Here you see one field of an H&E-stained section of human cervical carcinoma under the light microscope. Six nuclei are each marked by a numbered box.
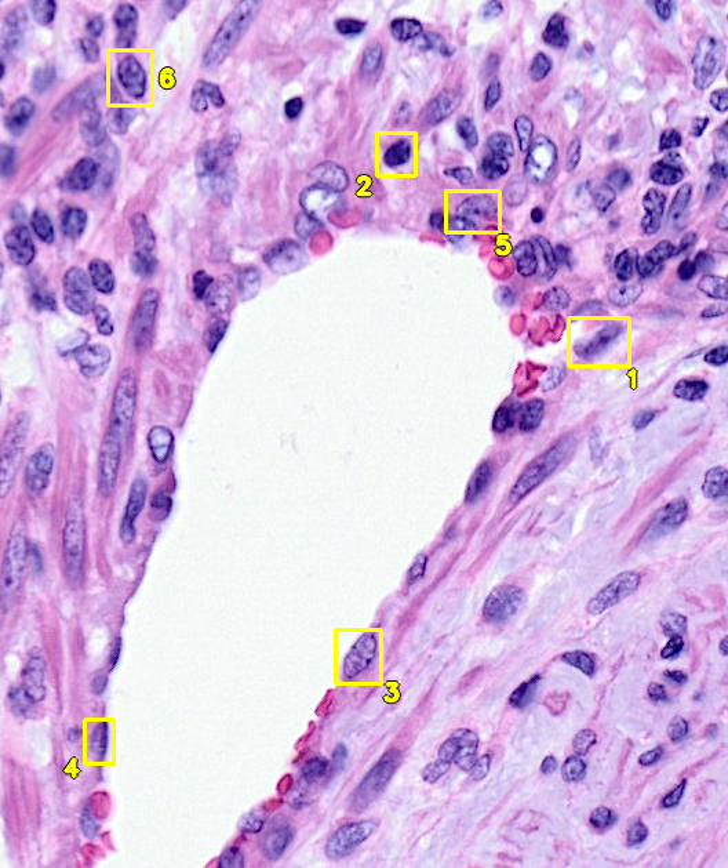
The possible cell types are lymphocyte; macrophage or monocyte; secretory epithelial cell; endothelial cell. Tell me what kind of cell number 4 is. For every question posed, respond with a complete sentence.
Cell 4 of the marked set is an endothelial cell.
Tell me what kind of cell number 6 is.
It is as a lymphocyte that the cell numbered 6 is identified.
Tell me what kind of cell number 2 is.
In this section, the cell numbered 2 is a lymphocyte.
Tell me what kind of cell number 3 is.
Cell 3 in the field is an endothelial cell.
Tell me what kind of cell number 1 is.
Here the cell numbered 1 is an endothelial cell.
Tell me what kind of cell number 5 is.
The label 5 in this section denotes an endothelial cell.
